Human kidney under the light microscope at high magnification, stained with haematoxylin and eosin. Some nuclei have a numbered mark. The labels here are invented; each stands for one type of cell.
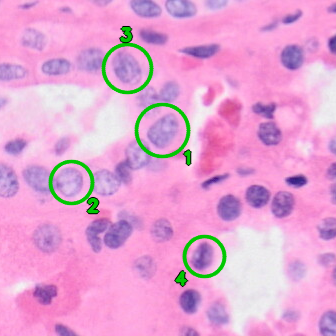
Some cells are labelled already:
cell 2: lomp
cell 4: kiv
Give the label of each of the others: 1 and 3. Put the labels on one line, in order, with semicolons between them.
lomp; lomp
